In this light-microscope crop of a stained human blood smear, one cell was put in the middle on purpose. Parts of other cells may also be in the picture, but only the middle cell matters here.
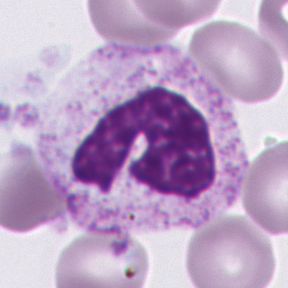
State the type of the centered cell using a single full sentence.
The cell around which this crop is centred is a band neutrophil.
